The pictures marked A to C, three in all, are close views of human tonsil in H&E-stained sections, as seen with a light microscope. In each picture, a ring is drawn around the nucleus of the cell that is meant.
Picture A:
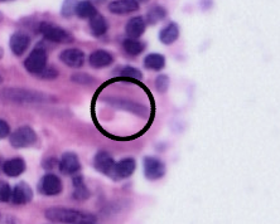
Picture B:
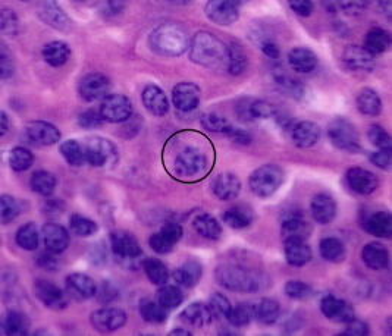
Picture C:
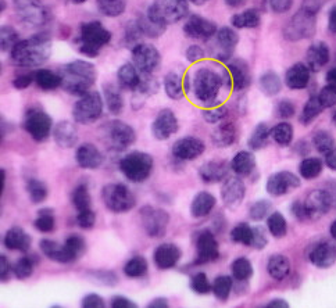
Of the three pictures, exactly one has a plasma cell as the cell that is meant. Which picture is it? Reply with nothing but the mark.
B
